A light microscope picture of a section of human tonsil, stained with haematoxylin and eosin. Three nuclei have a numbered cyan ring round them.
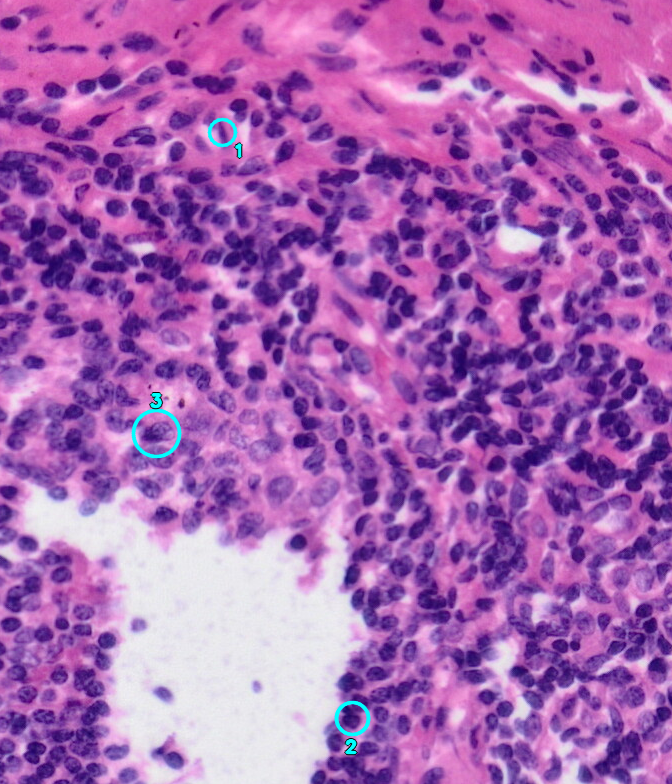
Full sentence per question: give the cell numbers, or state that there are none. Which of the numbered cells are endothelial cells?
Of those with numbers, only cell 1 is an endothelial cell.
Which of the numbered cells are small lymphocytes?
Only the cell numbered 2 is a small lymphocyte, and the others are something else.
